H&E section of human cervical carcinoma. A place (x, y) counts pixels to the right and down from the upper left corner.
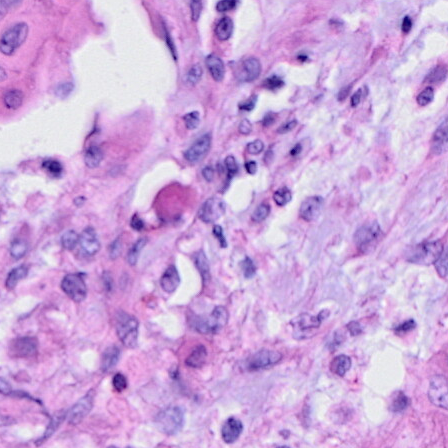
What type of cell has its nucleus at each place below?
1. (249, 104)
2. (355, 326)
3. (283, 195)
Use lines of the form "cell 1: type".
cell 1: lymphocyte
cell 2: fibroblast
cell 3: lymphocyte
